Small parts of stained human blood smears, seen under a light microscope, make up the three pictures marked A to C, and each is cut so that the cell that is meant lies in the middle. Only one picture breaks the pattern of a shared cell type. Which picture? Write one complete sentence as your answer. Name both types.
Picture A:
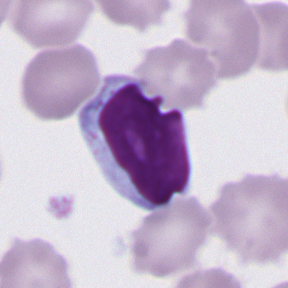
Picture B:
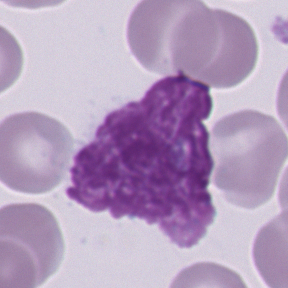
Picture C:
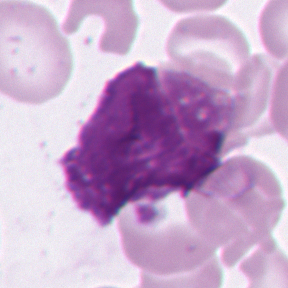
Unlike the rest, which show smudge cells, picture A shows a typical lymphocyte.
